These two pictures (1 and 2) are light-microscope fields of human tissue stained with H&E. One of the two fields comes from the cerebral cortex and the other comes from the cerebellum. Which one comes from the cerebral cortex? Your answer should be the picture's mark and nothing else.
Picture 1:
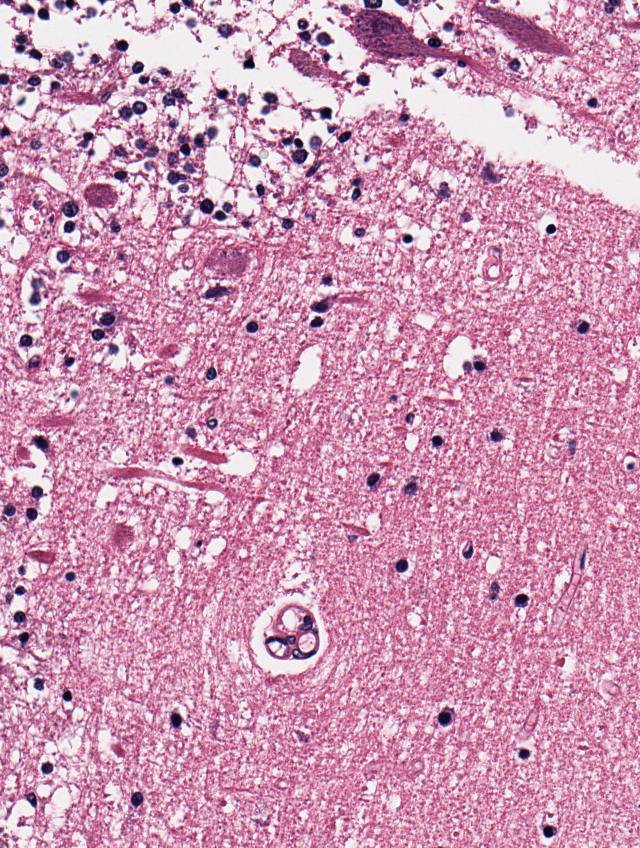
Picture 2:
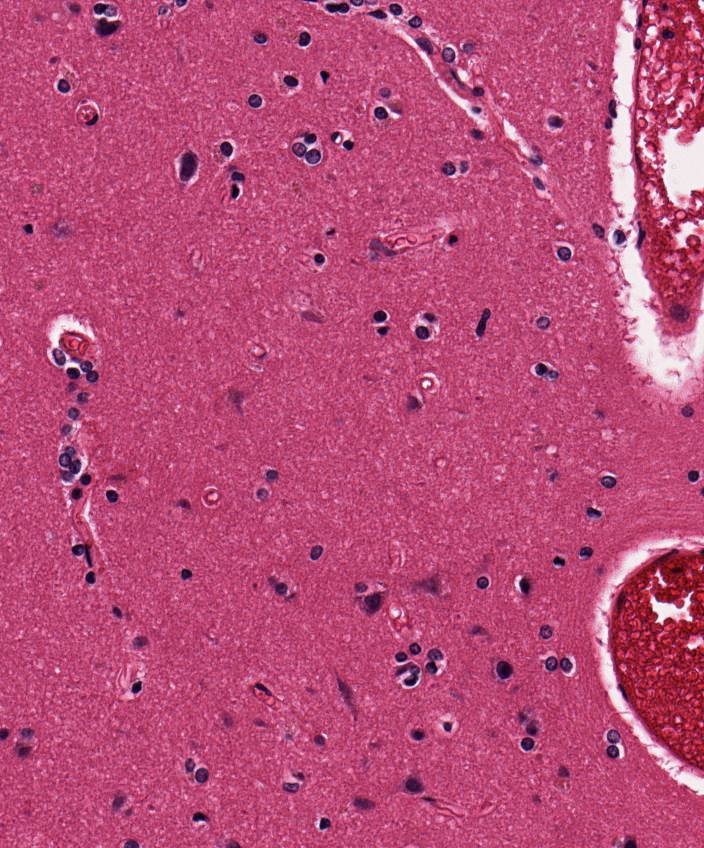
2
